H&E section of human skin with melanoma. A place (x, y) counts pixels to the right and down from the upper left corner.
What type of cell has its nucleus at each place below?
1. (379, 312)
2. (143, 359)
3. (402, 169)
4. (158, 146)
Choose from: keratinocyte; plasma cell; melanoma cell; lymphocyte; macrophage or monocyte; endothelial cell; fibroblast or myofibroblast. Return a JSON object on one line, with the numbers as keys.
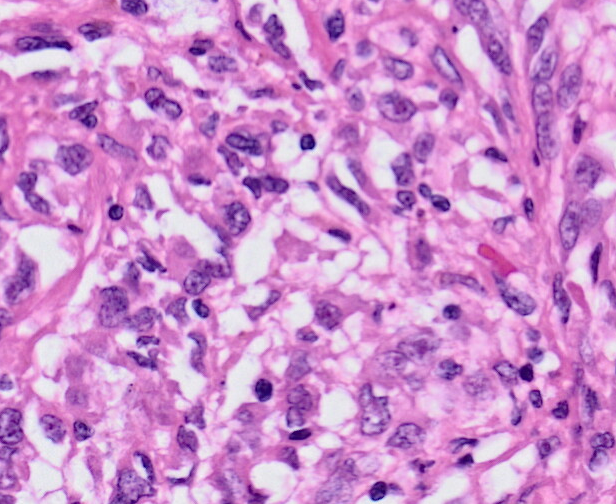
{"1": "macrophage or monocyte", "2": "melanoma cell", "3": "melanoma cell", "4": "melanoma cell"}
